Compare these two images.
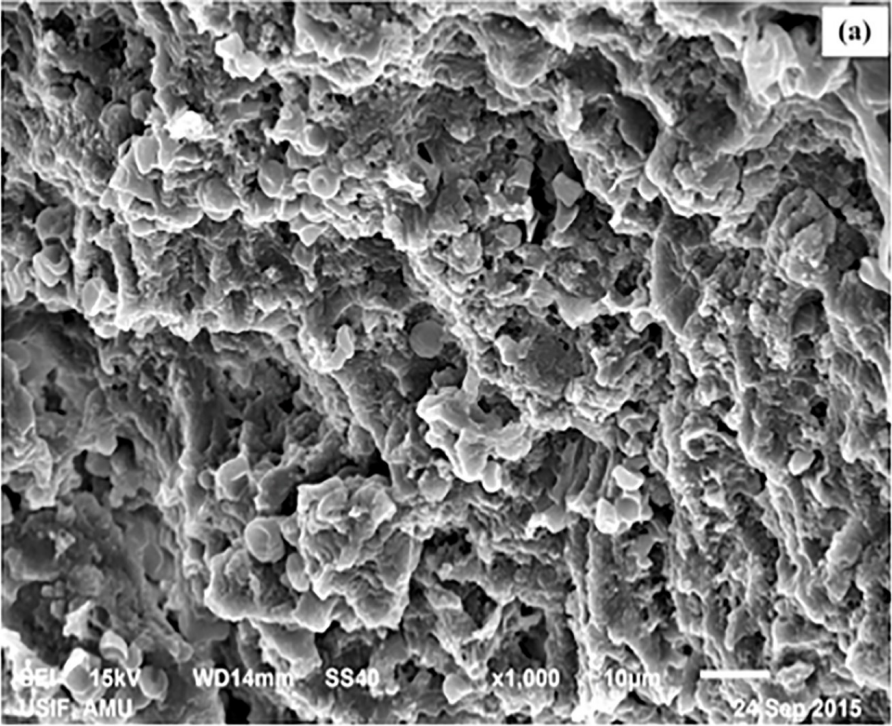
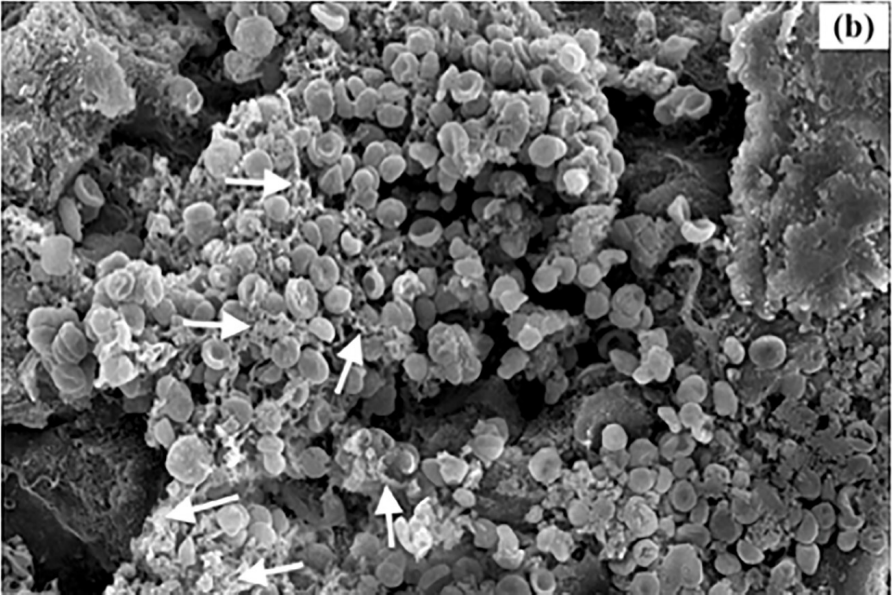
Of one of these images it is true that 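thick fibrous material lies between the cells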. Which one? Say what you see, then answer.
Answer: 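Second image: irregular flaky fibrous deposits are packed between clusters of rounded bodies. First image: a fractured, layered tissue surface without such deposits between rounded bodies.
Answer: the second image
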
